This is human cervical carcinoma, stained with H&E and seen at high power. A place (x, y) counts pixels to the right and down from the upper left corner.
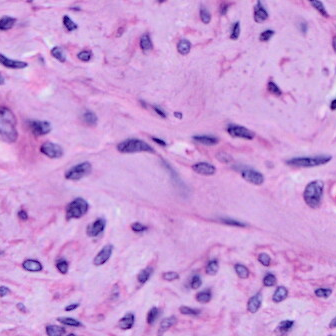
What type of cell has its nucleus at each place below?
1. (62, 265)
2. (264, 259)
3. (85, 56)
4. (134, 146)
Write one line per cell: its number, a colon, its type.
1: smooth muscle cell
2: smooth muscle cell
3: smooth muscle cell
4: fibroblast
